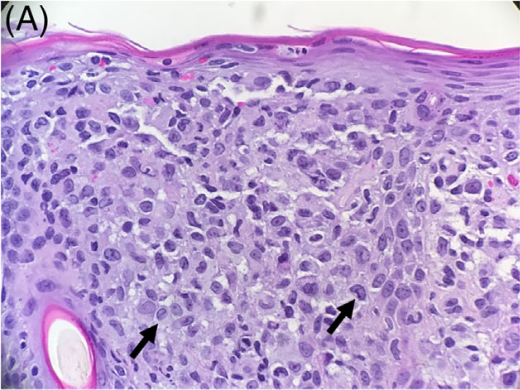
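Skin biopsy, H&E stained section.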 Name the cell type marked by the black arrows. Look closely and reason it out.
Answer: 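Langerhans cells. The arrows point to large epithelioid cells lying in sheets. Their nuclei are oval and irregularly folded, some with a longitudinal groove. Cytoplasm is moderate and pale pink.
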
